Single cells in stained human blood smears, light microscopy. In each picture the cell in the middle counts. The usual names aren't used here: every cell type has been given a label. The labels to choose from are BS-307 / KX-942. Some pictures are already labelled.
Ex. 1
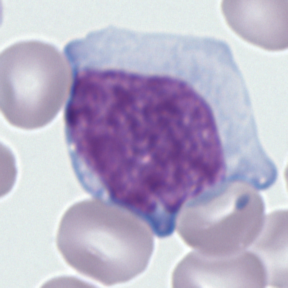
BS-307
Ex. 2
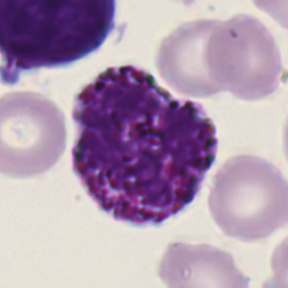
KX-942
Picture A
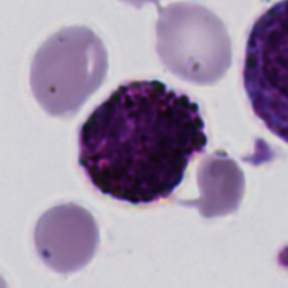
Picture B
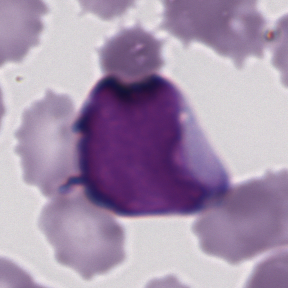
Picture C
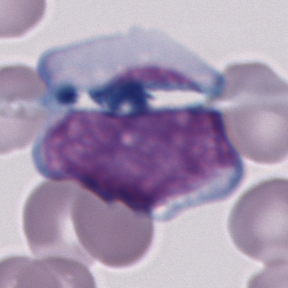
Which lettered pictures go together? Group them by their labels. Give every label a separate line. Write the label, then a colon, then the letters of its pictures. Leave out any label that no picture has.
BS-307: B, C
KX-942: A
